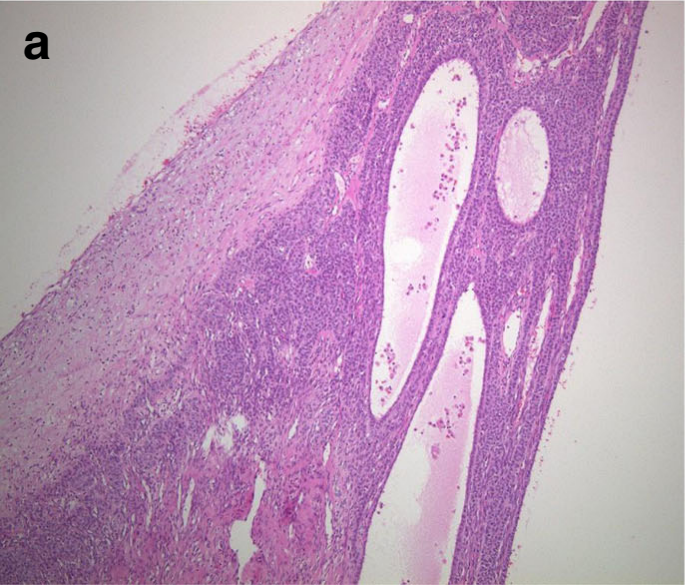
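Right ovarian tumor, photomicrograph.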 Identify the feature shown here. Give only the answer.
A: Macrofolliculars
